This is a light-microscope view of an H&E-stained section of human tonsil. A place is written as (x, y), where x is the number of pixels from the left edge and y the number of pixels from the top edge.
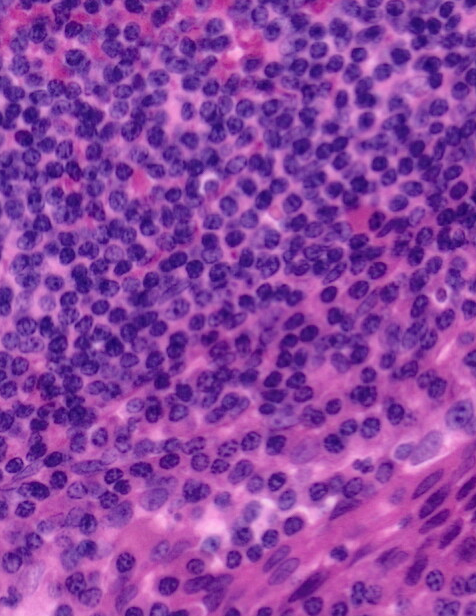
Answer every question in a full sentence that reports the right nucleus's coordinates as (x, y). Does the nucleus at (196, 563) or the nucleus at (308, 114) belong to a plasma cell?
So, of the two, the nucleus at (196, 563) is the one belonging to a plasma cell.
